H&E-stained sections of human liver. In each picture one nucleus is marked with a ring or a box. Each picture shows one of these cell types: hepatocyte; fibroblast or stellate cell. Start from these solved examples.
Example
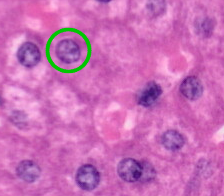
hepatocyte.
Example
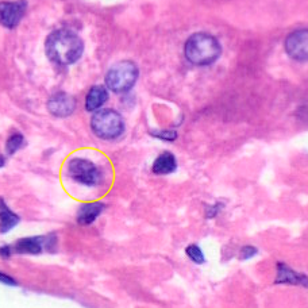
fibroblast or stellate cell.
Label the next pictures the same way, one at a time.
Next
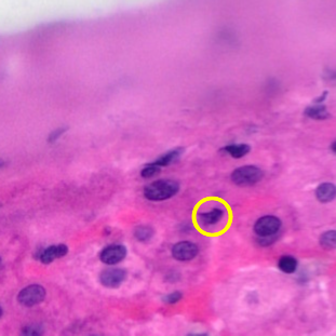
fibroblast or stellate cell.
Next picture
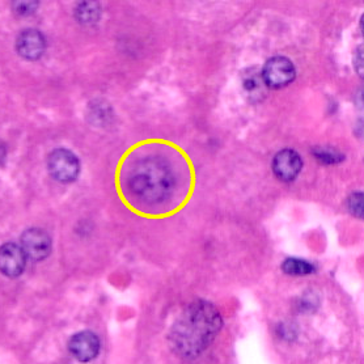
hepatocyte.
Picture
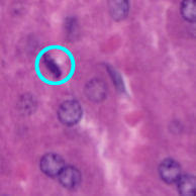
fibroblast or stellate cell.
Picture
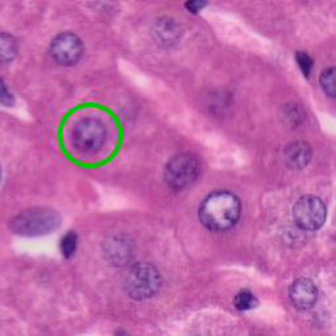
hepatocyte.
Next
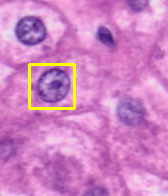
hepatocyte.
